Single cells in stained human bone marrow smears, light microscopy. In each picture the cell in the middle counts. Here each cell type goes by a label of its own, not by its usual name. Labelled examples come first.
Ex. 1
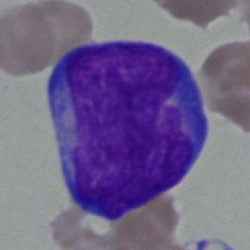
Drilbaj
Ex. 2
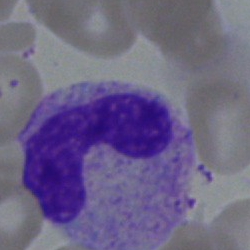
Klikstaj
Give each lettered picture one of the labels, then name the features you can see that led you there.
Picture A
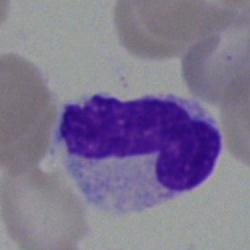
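Klikstaj. Evidence: The nucleus is an elongated band that bends downward at its right end.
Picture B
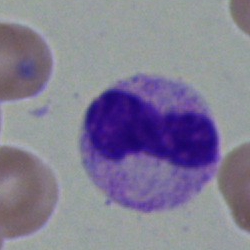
Klikstaj. Evidence: The cytoplasm is plentiful and pale lilac.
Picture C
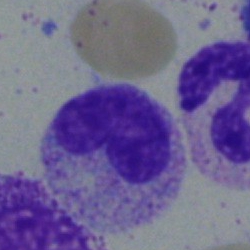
Klikstaj. Evidence: The cytoplasm is abundant and pale pinkish-lilac.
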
